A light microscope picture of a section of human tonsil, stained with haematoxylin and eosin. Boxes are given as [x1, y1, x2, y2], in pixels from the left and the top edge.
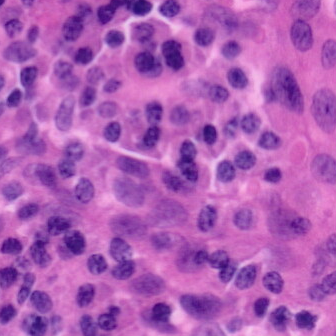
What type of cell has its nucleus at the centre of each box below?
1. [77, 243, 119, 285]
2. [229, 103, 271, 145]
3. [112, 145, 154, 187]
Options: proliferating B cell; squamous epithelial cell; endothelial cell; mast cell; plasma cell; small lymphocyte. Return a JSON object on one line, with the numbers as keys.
{"1": "plasma cell", "2": "plasma cell", "3": "squamous epithelial cell"}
